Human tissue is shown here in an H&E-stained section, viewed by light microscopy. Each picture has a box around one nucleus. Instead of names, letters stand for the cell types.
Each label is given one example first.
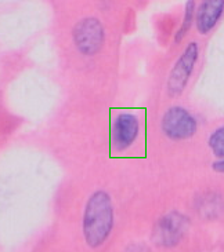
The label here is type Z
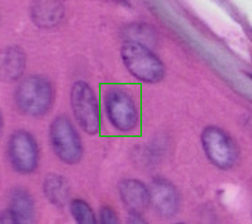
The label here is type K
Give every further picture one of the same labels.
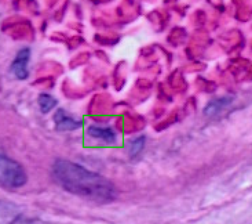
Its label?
type Z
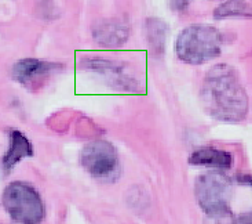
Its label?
type Z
